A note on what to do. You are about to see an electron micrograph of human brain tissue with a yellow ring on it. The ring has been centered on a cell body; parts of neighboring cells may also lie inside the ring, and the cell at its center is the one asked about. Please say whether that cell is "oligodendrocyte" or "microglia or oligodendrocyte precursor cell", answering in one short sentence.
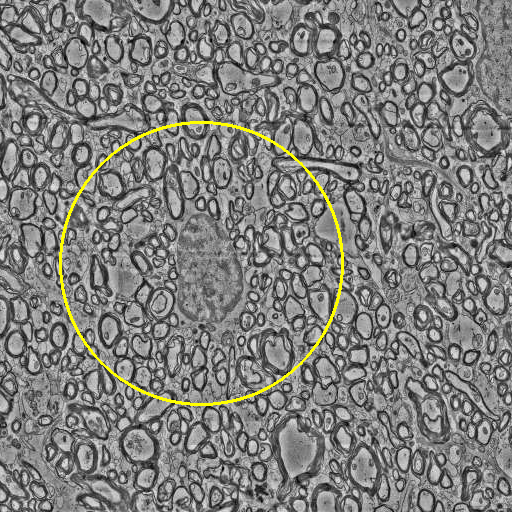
The yellow ring sits on an oligodendrocyte.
